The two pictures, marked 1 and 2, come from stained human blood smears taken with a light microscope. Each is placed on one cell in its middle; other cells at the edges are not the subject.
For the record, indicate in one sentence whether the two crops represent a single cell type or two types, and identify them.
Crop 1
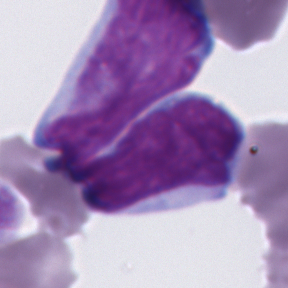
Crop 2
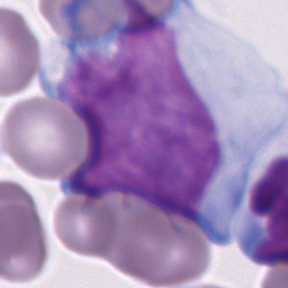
Yes, both crops in this set show blasts.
